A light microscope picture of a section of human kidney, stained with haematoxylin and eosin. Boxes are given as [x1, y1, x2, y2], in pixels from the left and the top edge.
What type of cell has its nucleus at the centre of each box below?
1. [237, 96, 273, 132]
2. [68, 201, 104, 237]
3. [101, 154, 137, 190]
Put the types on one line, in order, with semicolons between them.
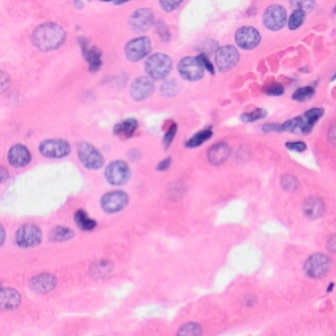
endothelial cell; collecting duct cell; collecting duct cell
